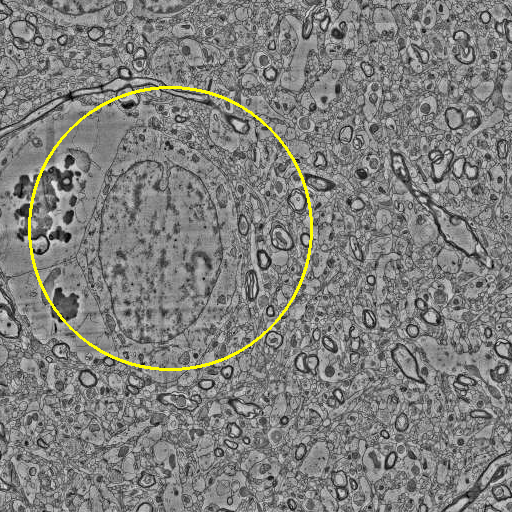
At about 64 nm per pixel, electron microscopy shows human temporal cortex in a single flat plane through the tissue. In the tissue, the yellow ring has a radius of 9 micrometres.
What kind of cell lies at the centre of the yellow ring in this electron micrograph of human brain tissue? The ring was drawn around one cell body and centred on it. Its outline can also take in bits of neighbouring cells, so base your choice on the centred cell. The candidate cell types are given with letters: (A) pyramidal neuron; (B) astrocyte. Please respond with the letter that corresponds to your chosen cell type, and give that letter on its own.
A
